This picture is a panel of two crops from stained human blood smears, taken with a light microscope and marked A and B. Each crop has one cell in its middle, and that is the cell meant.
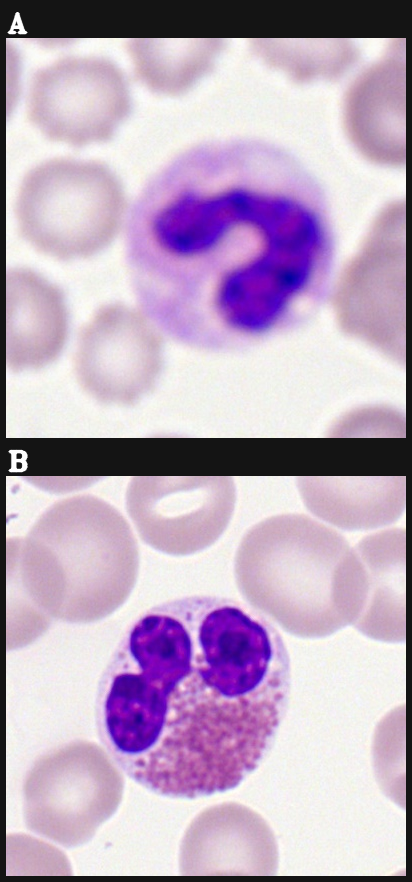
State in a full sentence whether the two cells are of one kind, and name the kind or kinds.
No, crop A captures a segmented neutrophil, and crop B captures an eosinophil.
